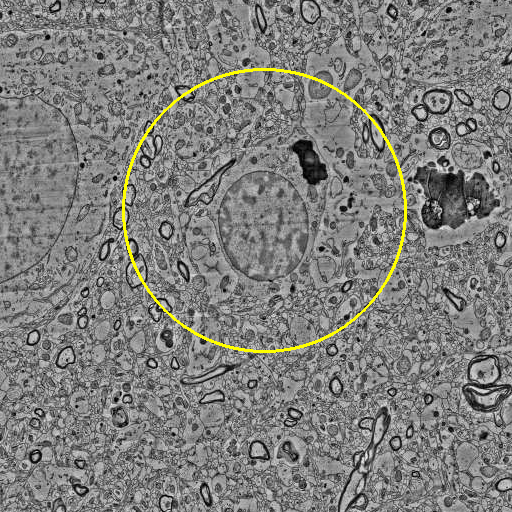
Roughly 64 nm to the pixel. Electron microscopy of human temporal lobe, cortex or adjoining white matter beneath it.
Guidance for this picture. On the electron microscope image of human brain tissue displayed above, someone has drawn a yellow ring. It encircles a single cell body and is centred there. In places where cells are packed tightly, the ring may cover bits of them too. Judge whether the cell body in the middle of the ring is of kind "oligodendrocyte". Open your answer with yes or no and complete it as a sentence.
Yes, that kind matches the cell whose body lies at the ring's centre in the image above.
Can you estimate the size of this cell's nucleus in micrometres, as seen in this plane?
In this plane, the nucleus is roughly 7 by 6 micrometres.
